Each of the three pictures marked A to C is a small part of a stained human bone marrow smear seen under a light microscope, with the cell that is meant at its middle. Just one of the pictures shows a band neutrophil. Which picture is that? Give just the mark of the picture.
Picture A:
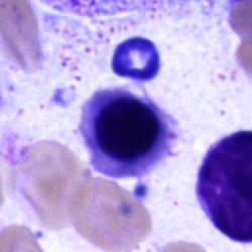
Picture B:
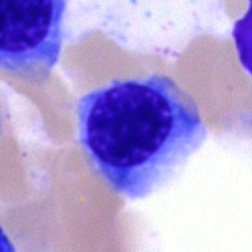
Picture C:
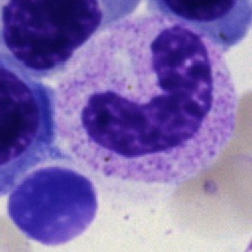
C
